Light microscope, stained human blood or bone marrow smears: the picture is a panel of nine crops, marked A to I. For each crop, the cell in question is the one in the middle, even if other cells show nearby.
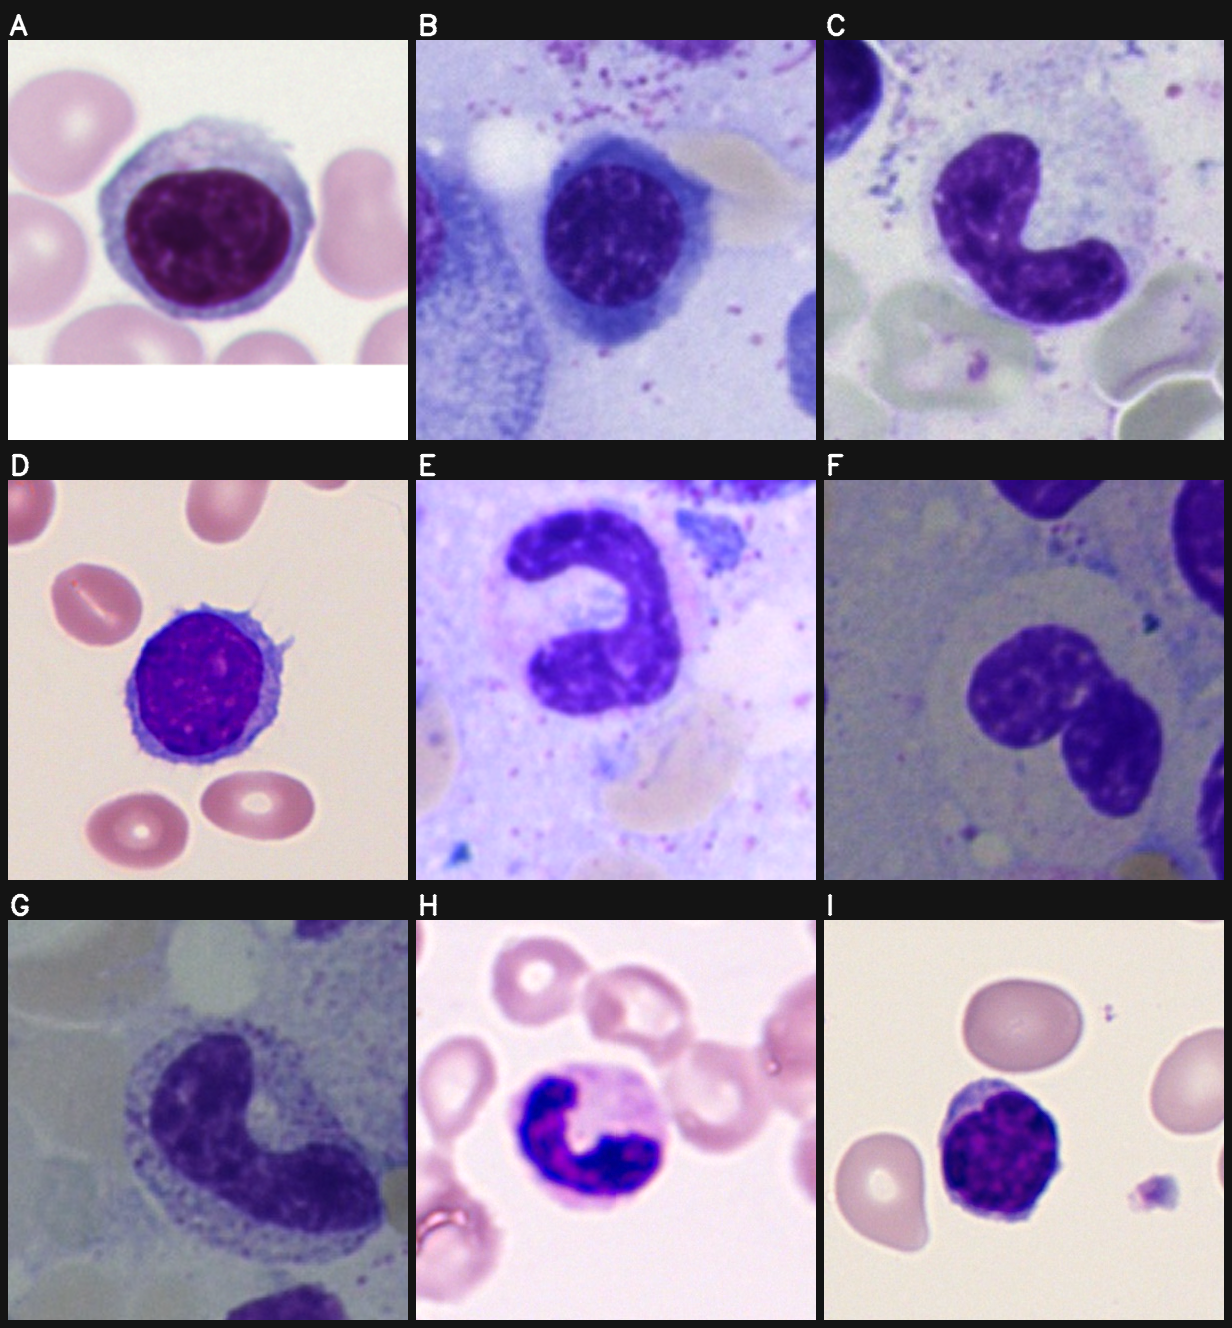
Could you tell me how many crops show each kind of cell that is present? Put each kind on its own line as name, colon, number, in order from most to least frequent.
band neutrophil: 5
lymphocyte: 3
erythroblast: 1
